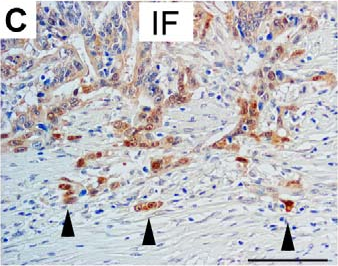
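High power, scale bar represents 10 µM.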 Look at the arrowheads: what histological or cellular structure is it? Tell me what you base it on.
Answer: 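The arrowheads point to small clusters of a few tumor cells lying detached within the pale stroma. These small clusters lie at the deep edge, ahead of the larger tumor strands. The cells in these clusters have brown-stained nuclei. The answer: tumor buds.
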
